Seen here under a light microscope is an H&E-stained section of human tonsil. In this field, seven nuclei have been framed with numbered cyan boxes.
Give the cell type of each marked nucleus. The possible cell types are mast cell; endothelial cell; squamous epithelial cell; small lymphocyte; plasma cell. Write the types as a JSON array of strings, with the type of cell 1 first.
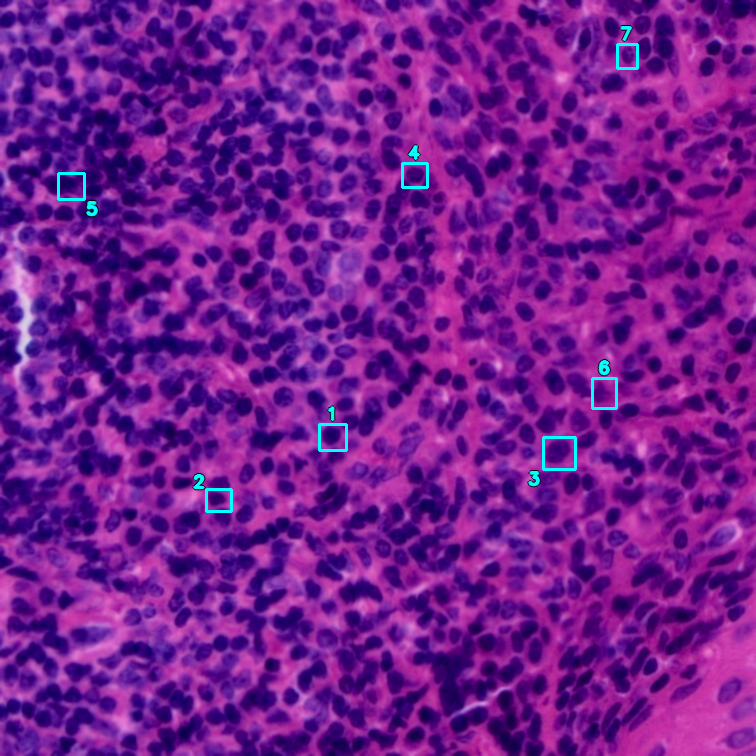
["plasma cell", "plasma cell", "squamous epithelial cell", "plasma cell", "small lymphocyte", "squamous epithelial cell", "plasma cell"]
